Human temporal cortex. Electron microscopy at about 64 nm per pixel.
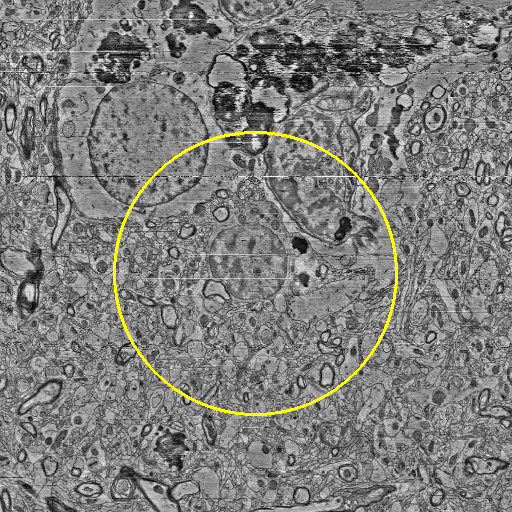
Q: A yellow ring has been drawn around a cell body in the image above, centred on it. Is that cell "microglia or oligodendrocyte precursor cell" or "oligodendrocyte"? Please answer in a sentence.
The ring surrounds the cell body of an oligodendrocyte.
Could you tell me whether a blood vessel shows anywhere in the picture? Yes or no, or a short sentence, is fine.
Yes, a blood vessel shows in the picture.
